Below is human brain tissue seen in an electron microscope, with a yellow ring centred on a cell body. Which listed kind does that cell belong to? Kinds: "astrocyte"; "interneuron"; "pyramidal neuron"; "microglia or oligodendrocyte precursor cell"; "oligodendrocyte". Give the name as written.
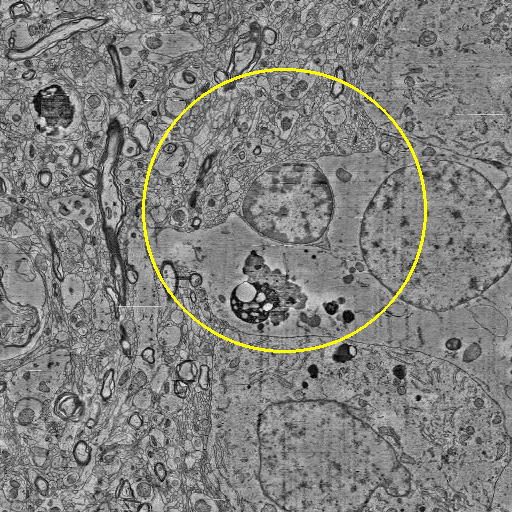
microglia or oligodendrocyte precursor cell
